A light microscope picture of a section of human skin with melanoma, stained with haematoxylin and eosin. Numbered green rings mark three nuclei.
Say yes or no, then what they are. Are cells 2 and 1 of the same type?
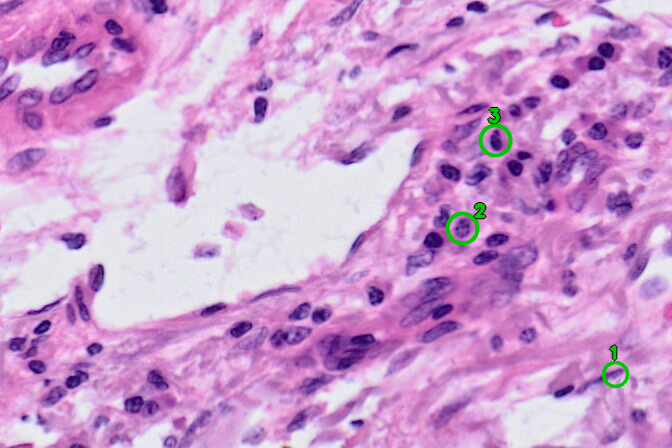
No, cell 2 is a plasma cell, but cell 1 is a fibroblast or myofibroblast.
